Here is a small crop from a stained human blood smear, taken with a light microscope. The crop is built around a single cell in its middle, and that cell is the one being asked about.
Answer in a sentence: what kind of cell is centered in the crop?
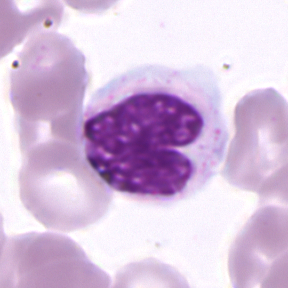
Centred in the crop is a band neutrophil.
